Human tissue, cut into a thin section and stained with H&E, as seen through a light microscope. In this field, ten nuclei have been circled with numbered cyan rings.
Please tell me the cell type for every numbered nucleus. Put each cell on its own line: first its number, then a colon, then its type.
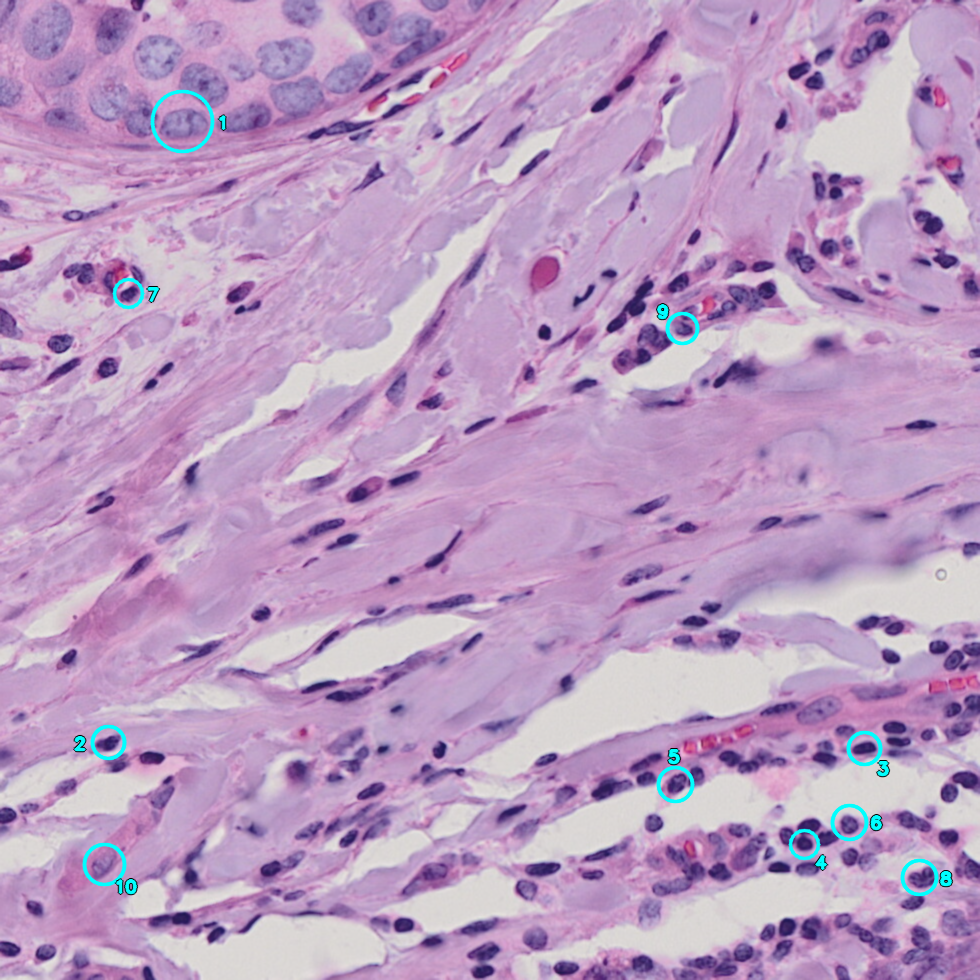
1: carcinoma cell
2: lymphocyte
3: lymphocyte
4: lymphocyte
5: lymphocyte
6: lymphocyte
7: endothelial cell
8: lymphocyte
9: endothelial cell
10: endothelial cell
